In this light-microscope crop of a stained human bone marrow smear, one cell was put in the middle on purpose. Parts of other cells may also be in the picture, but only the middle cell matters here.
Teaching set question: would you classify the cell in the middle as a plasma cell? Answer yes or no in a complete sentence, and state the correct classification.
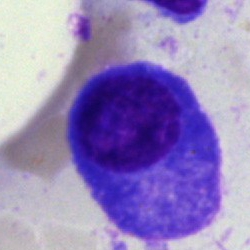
Yes, the cell at the heart of the crop is a plasma cell.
